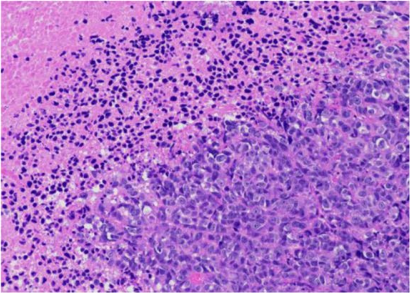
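This is tumor tissue in which a dense sheet of tumor cells fills the right and lower part of the field, beside a pink area on the upper left. The tumor cells are closely packed, with round to oval purple nuclei and a moderate rim of pale pink cytoplasm, forming a cohesive, orderly mass. Toward the upper left the tissue changes: many small, round, very dark nuclei lie scattered in a pale pink background without clear cell borders, and at the far corner the tissue becomes homogeneous pink with few nuclei. The border between the intact cell sheet and this loose zone is fairly sharp.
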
